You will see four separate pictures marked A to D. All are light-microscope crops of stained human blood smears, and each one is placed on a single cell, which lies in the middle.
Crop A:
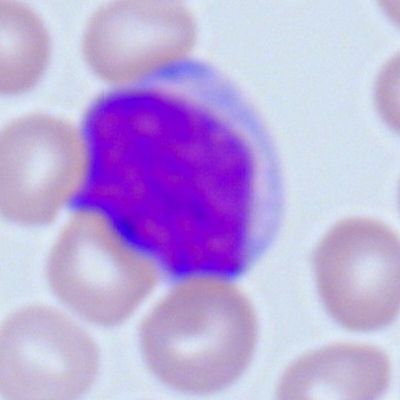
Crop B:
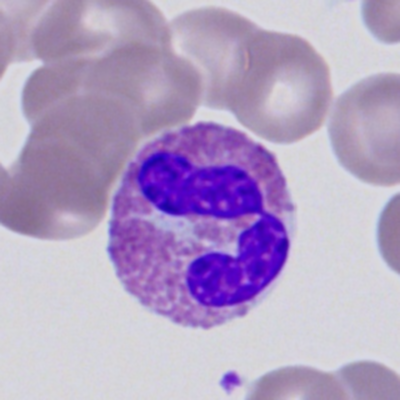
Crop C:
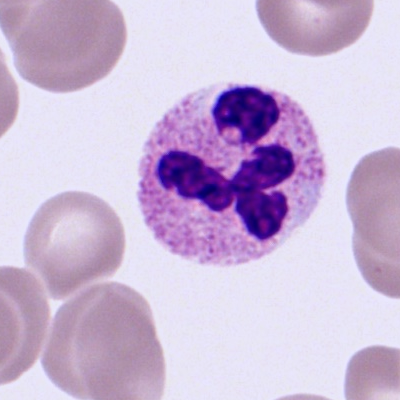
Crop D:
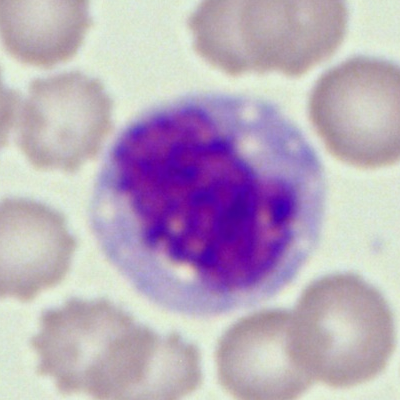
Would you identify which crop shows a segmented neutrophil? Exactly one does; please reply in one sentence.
Of these crops, it is crop C that shows a segmented neutrophil.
